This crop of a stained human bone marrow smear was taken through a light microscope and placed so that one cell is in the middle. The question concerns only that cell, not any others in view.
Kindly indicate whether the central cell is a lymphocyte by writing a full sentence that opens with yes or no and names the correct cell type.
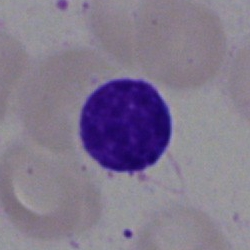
Yes, it is a lymphocyte that is seen at the centre of the crop.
